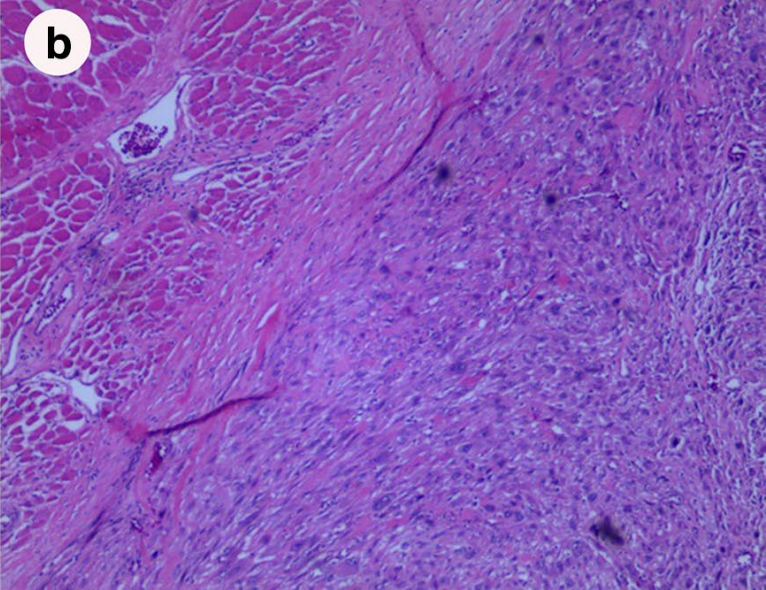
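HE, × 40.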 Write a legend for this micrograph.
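At upper left lie bright pink, polygonal muscle fibers in cross-section, separated by thin connective tissue septa and small vessels. The rest of the field is a dense sheet of tumor cells with crowded, variably sized, dark purple nuclei and pinkish cytoplasm. Toward the right edge, the tumor cells become more spindle-shaped and run in bundles.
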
